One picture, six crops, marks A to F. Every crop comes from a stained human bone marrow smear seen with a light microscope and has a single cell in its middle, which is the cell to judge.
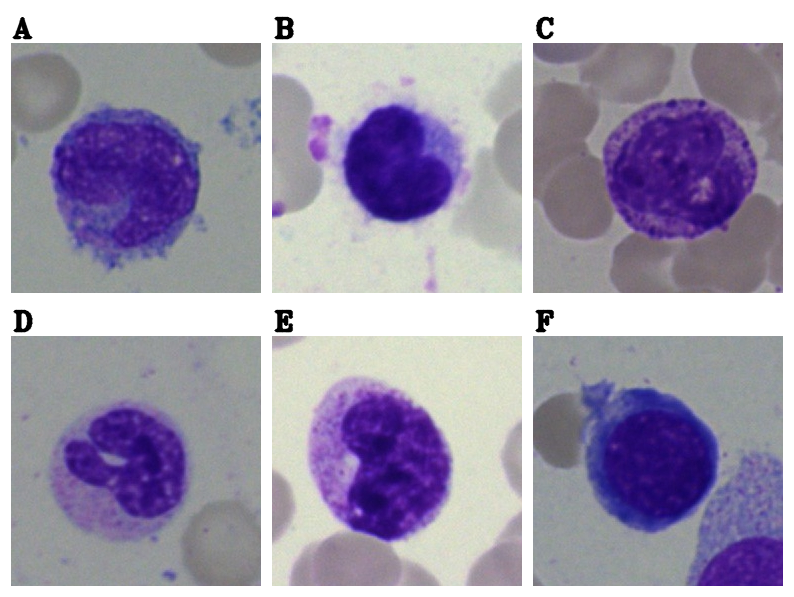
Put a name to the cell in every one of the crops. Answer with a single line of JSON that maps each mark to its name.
{"A": "monocyte", "B": "hairy cell", "C": "basophil", "D": "segmented neutrophil", "E": "metamyelocyte", "F": "erythroblast"}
